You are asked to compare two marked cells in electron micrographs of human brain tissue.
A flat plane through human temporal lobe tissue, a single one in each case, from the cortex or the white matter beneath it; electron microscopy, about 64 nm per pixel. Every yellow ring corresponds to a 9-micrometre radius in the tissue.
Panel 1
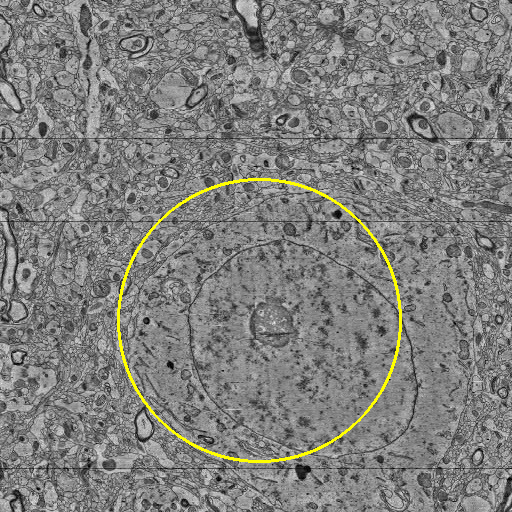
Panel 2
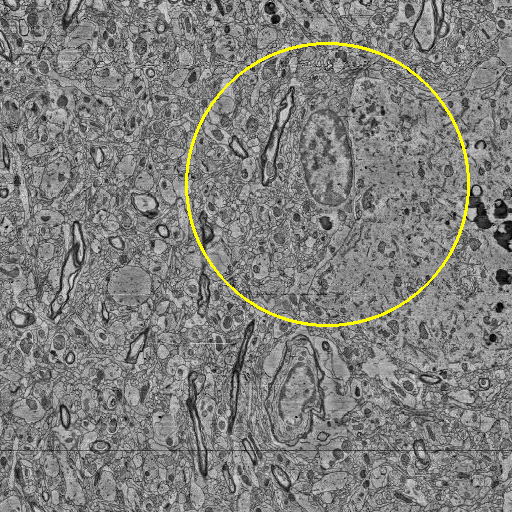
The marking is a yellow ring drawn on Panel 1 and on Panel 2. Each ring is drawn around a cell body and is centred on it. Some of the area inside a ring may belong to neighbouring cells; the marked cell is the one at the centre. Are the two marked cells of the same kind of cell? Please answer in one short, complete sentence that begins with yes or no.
No, the two marked cells are of two kinds.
